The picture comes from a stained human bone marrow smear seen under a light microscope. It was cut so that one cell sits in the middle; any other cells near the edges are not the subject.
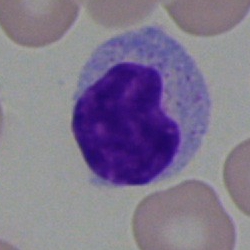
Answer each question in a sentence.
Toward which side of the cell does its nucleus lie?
The nucleus lies toward the lower left of the cell.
